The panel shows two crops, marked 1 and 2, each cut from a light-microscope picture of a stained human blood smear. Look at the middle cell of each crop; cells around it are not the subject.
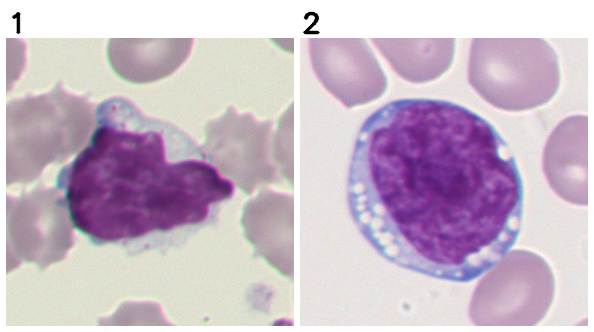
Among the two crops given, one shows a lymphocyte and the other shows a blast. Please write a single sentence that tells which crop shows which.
Okay, so crop 1 is a lymphocyte and crop 2 is a blast.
